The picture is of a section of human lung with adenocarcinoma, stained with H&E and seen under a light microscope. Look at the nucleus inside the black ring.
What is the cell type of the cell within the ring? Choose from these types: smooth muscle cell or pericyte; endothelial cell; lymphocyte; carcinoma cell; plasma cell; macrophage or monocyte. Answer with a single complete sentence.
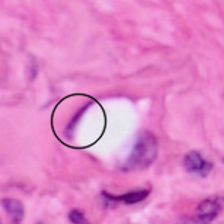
Cell type answer for this item: the cell within the ring is an endothelial cell.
